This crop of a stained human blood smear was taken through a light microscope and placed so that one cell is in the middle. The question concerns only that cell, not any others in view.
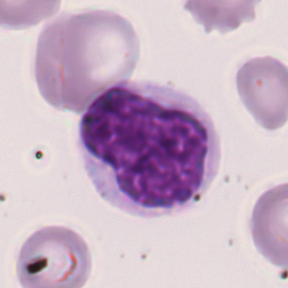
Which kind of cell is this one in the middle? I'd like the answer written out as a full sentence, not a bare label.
The centered cell in this crop is a metamyelocyte.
